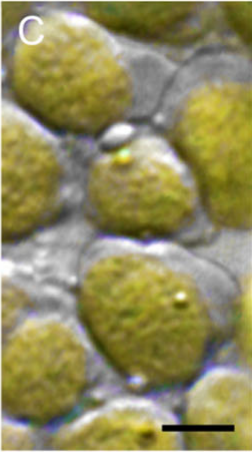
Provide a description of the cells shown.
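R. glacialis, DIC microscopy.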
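This is leaf mesophyll seen in differential interference contrast, and what fills the view are chloroplasts. They are large, rounded to oval bodies, closely packed, with finely granular yellow-green contents that carry their pigment. Now look at the spaces between them. Pale grey, translucent, colourless extensions bulge out from the edges of several chloroplasts. Some are broad and some taper to a point like a beak. They have none of the green colour of the main body. These are chloroplast protrusions, outpocketings of the envelope filled with stroma. They wedge into the gaps between neighbouring chloroplasts.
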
